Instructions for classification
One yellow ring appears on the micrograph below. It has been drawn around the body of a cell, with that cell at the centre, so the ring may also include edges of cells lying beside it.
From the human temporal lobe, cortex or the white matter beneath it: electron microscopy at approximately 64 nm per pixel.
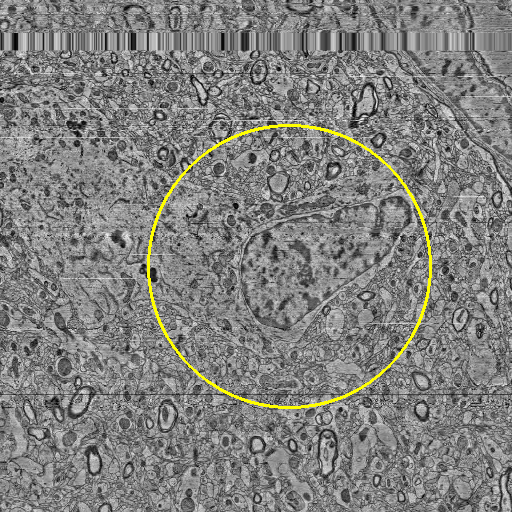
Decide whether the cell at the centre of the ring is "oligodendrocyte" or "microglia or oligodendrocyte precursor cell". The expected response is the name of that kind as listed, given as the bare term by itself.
microglia or oligodendrocyte precursor cell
